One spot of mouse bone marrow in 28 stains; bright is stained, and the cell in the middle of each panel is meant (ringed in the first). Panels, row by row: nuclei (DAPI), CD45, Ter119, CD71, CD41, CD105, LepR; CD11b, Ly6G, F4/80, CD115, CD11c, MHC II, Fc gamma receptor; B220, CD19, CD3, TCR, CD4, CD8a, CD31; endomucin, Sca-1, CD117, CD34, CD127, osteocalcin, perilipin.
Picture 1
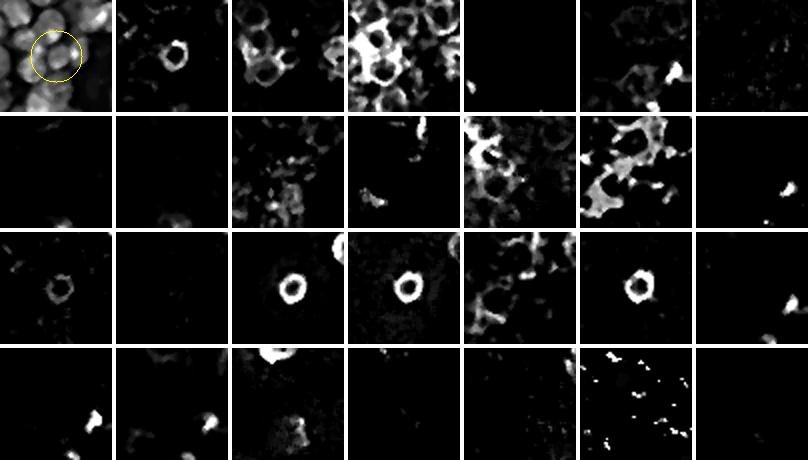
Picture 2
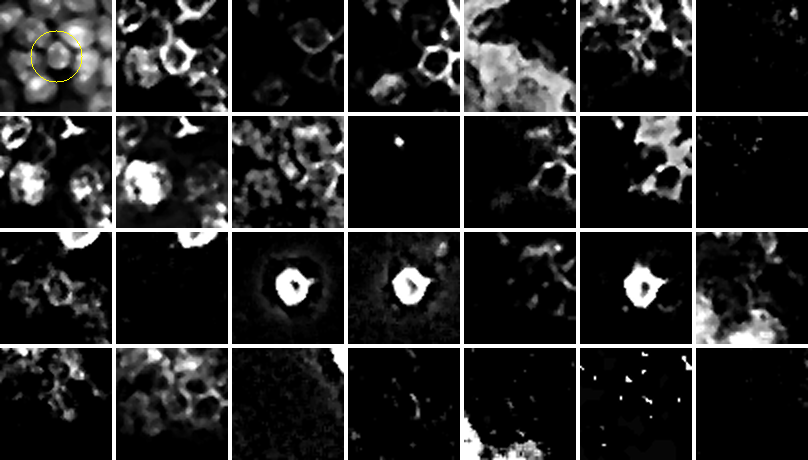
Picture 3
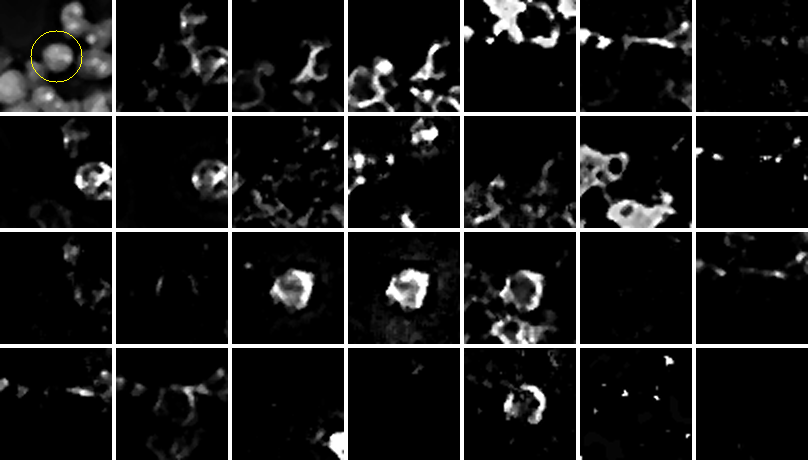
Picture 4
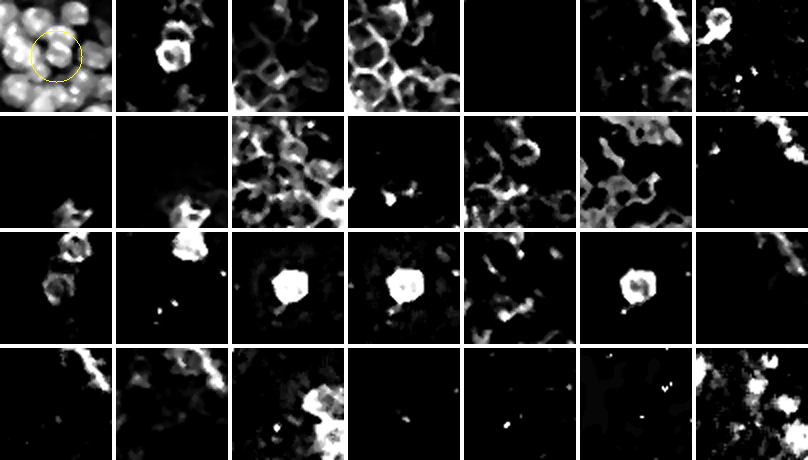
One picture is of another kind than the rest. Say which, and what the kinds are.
Picture 3 shows a CD4 T cell; the rest show CD8 T cells.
